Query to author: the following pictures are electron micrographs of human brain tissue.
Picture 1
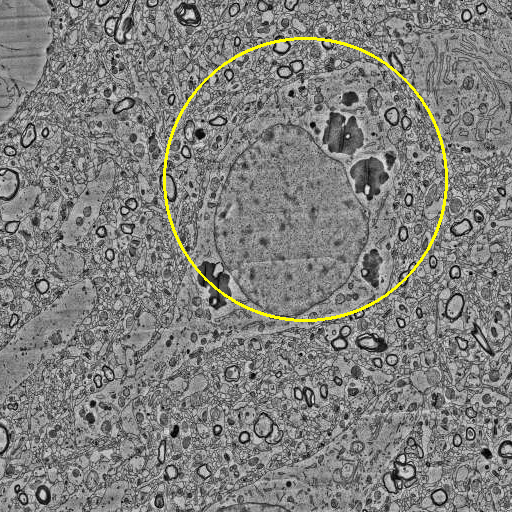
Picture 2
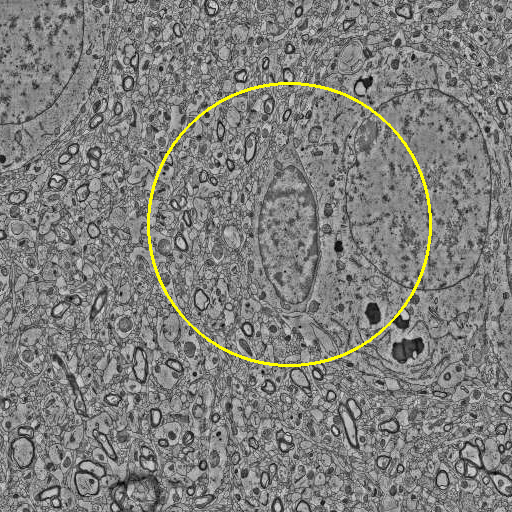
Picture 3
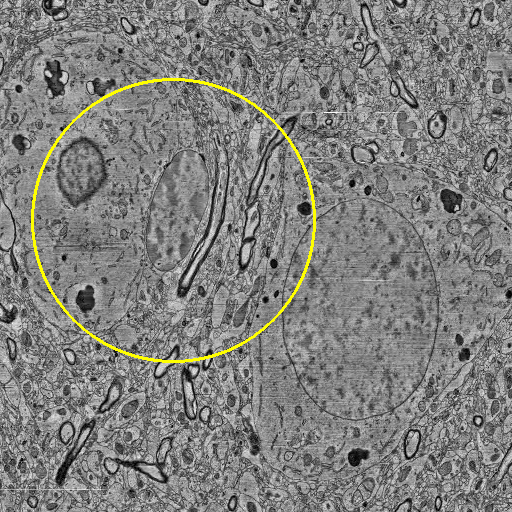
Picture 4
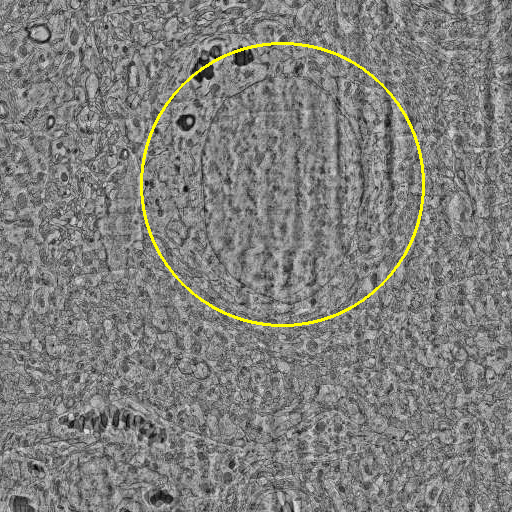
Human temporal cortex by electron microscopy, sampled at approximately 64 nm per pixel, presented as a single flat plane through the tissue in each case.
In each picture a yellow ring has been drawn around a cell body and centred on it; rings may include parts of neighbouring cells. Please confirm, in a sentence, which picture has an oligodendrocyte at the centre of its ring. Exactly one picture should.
Picture 2 has it at the centre of its ring.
